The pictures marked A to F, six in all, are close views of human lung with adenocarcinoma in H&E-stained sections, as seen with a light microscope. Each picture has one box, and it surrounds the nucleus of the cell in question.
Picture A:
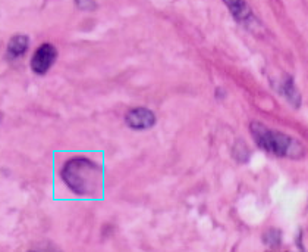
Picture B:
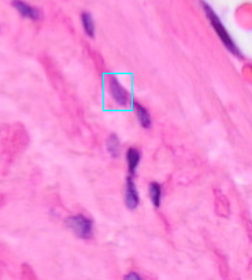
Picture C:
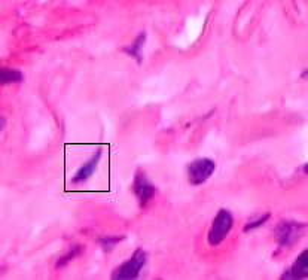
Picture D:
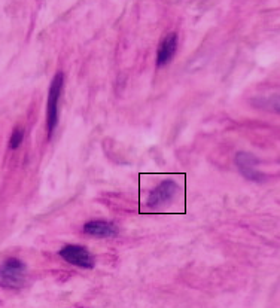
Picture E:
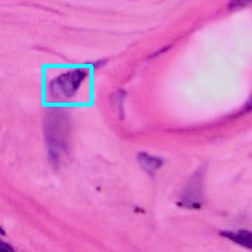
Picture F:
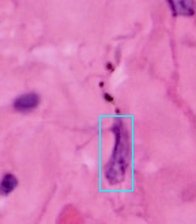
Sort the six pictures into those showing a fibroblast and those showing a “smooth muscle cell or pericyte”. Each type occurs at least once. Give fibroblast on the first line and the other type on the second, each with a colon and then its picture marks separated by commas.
fibroblast: A, C, E, F
smooth muscle cell or pericyte: B, D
